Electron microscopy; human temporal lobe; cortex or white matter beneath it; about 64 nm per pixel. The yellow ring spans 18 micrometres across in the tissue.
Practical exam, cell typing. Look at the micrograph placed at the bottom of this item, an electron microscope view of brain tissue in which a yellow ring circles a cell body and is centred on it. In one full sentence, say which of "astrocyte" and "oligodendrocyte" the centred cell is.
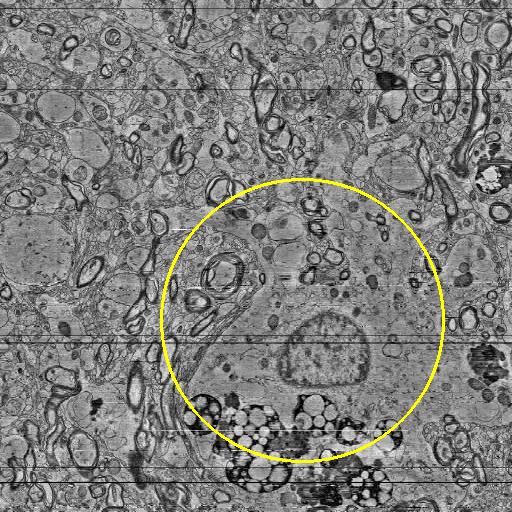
Given the options, an astrocyte fits the cell whose body the yellow ring is centred on.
